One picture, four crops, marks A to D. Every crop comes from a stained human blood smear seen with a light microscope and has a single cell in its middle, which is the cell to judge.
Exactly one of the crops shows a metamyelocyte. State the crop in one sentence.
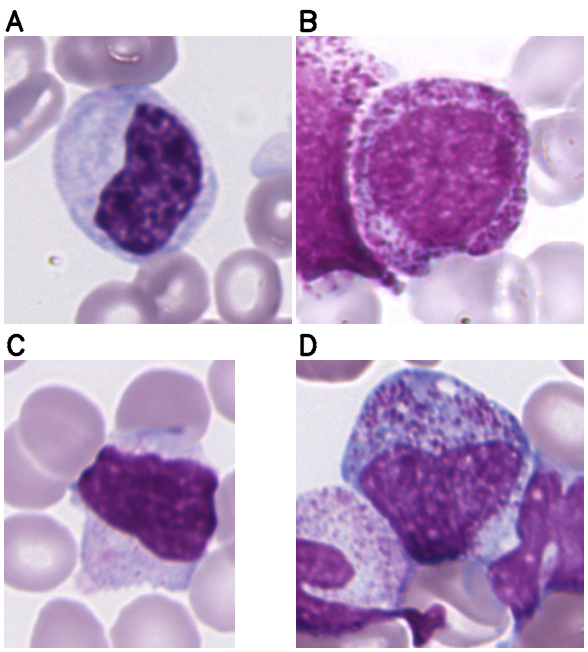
Look at crop A; that is the one with a metamyelocyte in its center.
